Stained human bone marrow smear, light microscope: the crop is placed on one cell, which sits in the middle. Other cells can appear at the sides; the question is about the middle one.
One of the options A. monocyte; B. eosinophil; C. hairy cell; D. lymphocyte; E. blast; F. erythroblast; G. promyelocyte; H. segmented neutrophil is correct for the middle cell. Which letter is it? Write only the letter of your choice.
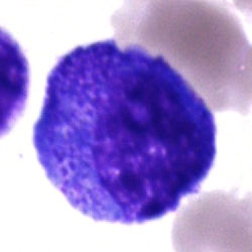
G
